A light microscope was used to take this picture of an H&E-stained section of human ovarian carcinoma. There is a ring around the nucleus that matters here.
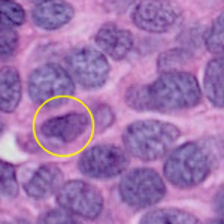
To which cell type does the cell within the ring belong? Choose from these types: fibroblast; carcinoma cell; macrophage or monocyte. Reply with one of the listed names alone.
carcinoma cell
